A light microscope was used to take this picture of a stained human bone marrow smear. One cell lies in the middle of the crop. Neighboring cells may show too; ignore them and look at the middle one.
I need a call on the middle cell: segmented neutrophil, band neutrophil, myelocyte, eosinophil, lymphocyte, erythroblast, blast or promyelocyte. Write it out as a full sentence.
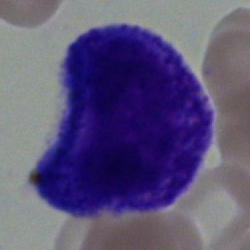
This particular crop is centered on a promyelocyte.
